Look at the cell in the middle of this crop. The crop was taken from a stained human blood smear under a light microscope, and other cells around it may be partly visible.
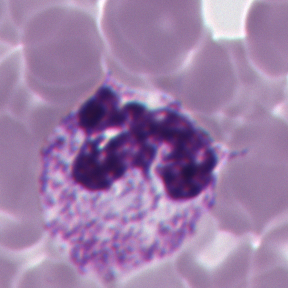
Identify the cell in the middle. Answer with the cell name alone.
segmented neutrophil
